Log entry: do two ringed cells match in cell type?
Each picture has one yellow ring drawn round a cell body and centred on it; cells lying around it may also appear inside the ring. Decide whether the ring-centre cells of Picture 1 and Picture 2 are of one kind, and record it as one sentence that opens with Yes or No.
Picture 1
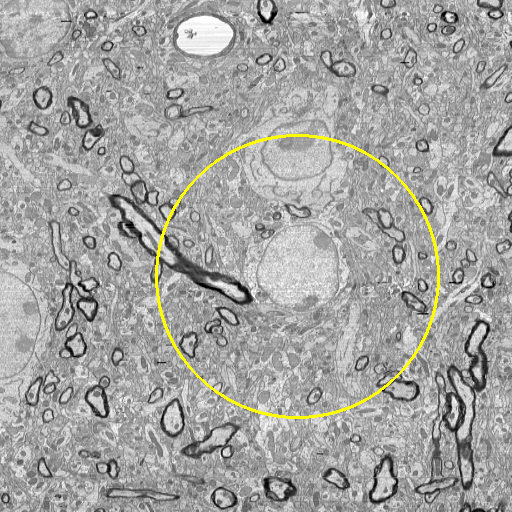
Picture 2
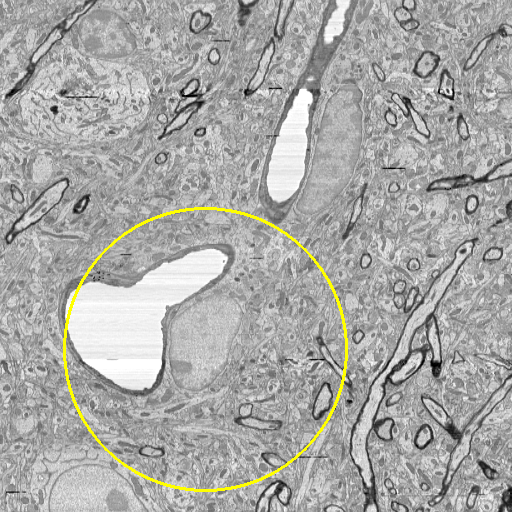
Yes, the cells at the ring centres of the two pictures belong to one kind.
